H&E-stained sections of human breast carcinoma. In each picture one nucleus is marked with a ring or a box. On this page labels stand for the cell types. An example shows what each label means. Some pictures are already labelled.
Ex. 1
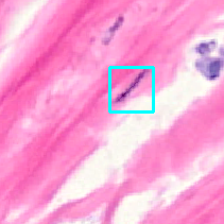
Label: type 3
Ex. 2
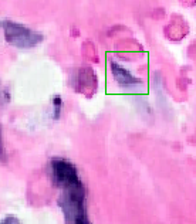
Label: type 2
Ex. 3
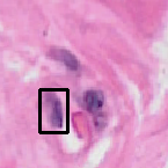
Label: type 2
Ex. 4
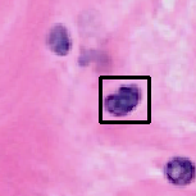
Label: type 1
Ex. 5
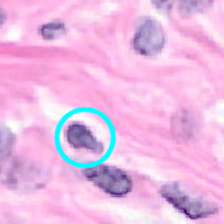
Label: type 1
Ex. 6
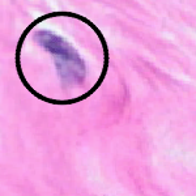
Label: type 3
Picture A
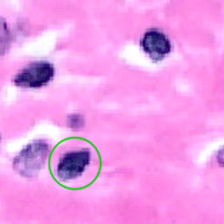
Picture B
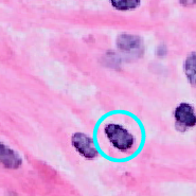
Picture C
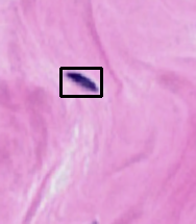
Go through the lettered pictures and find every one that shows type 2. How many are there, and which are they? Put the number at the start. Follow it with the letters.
0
